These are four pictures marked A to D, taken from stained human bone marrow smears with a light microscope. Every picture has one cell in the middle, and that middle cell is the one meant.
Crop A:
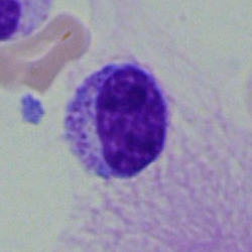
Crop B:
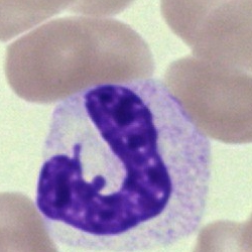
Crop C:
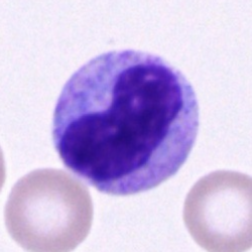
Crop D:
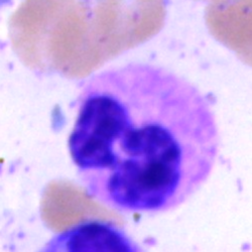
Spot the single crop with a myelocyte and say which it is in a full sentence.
Of all the crops, crop A is the one showing a myelocyte.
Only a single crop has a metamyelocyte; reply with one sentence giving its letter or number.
The crop with a metamyelocyte in it is crop C.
